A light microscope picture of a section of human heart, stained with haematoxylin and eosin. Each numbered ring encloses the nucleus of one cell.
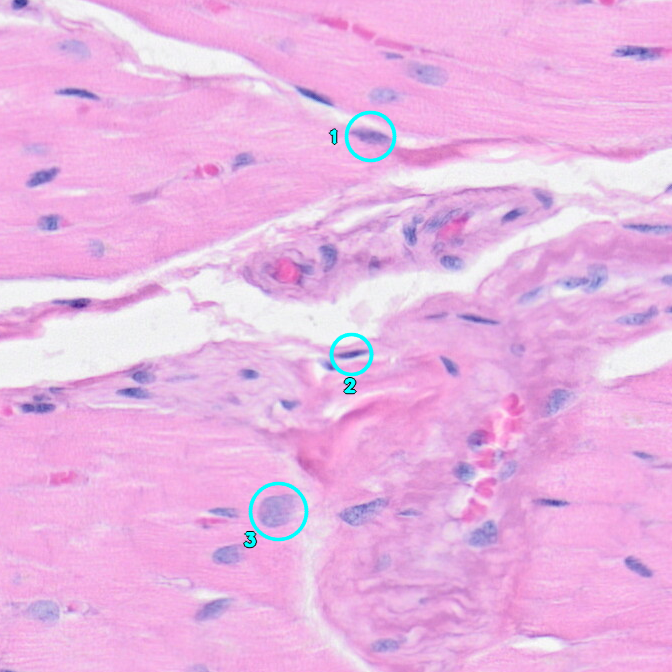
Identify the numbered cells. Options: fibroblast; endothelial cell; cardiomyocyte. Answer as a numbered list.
1. fibroblast
2. fibroblast
3. cardiomyocyte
